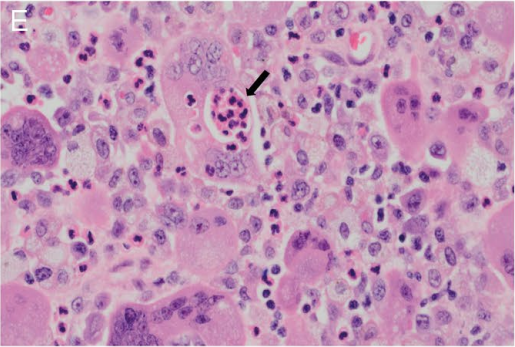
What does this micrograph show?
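Large multinucleated giant cells with pink cytoplasm are set among many mononuclear cells and scattered small cells with dark segmented nuclei. In one giant cell a cluster of these small segmented-nucleus cells lies within the cytoplasm, surrounded by a clear halo.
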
